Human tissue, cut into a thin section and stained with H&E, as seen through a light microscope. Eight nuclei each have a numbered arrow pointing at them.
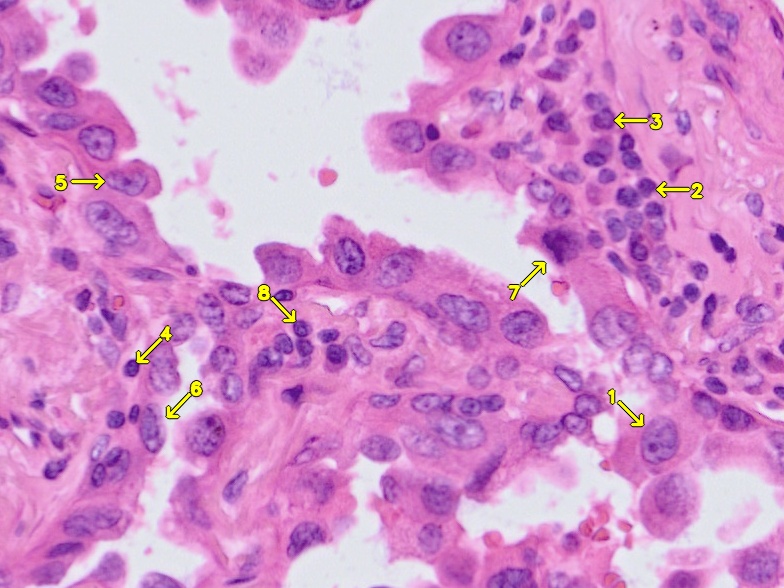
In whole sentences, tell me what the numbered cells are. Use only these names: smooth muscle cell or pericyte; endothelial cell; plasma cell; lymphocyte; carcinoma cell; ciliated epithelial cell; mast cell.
Cell 1 is a carcinoma cell, cell 2 is a lymphocyte, cell 3 is a plasma cell, cell 4 is a lymphocyte, cell 5 is a carcinoma cell, cell 6 is a carcinoma cell, cell 7 is a carcinoma cell and cell 8 is a lymphocyte.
